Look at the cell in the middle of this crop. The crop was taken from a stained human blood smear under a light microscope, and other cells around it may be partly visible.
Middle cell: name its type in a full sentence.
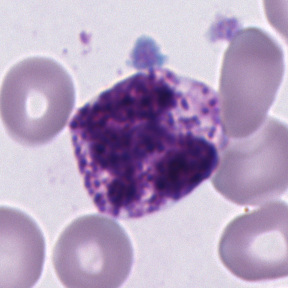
The cell that lies at the centre of the crop is a basophil.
